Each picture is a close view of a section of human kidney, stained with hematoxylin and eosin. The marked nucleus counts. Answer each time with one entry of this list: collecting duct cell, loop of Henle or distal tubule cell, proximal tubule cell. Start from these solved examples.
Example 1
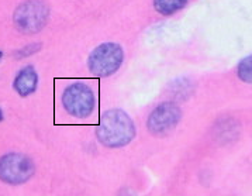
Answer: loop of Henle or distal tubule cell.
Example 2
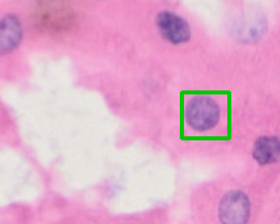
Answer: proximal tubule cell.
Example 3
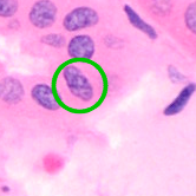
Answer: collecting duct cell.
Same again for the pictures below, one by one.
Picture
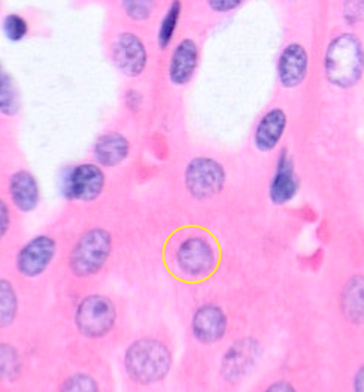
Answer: proximal tubule cell.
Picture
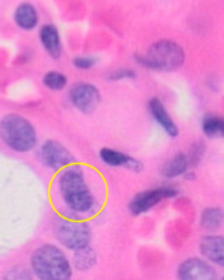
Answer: collecting duct cell.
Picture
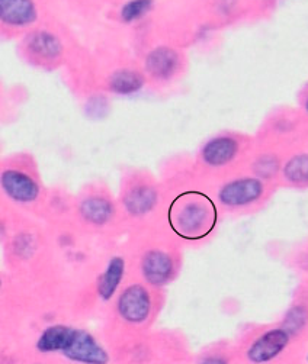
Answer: loop of Henle or distal tubule cell.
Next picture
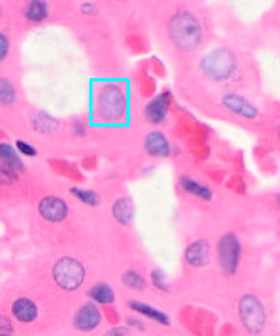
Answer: loop of Henle or distal tubule cell.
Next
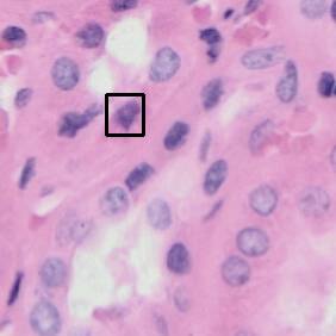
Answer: loop of Henle or distal tubule cell.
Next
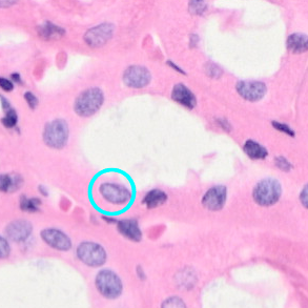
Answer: loop of Henle or distal tubule cell.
